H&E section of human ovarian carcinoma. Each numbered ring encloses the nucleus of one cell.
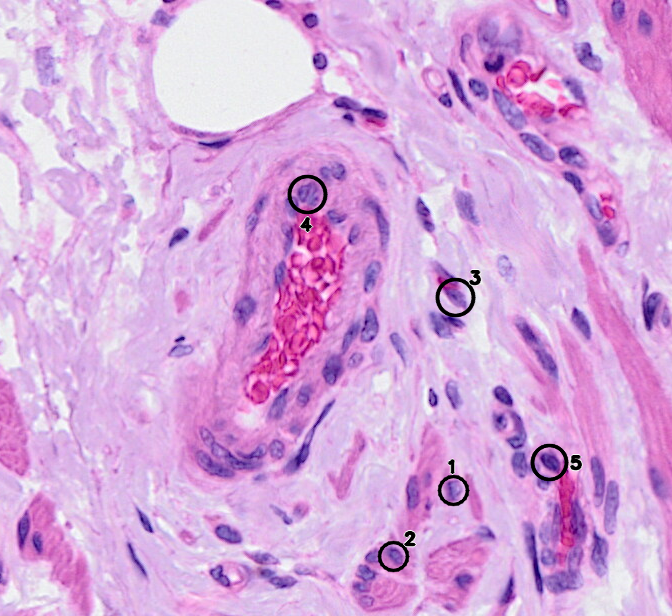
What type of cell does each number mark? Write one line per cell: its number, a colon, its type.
1: smooth muscle cell
2: smooth muscle cell
3: endothelial cell
4: endothelial cell
5: endothelial cell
